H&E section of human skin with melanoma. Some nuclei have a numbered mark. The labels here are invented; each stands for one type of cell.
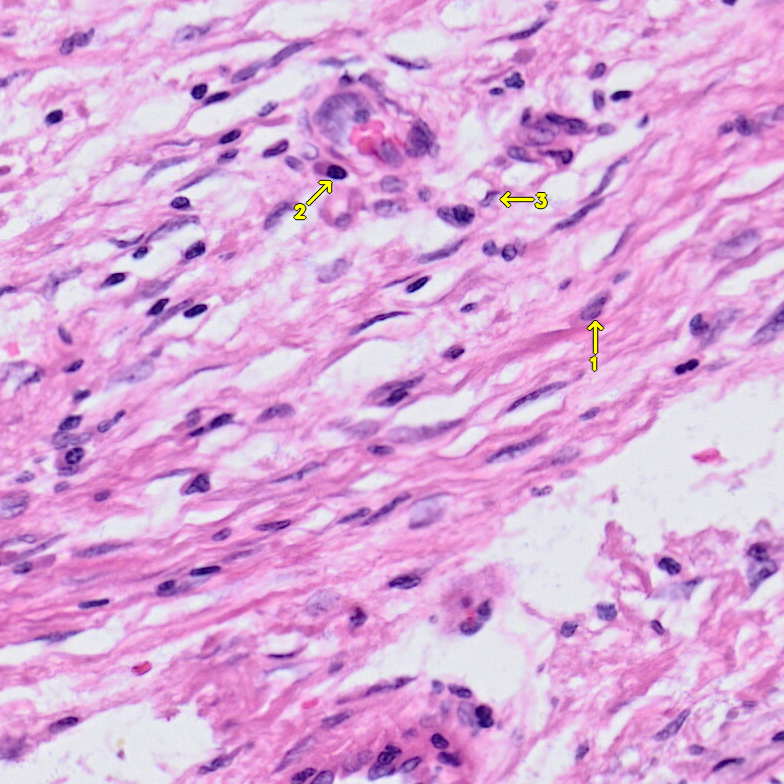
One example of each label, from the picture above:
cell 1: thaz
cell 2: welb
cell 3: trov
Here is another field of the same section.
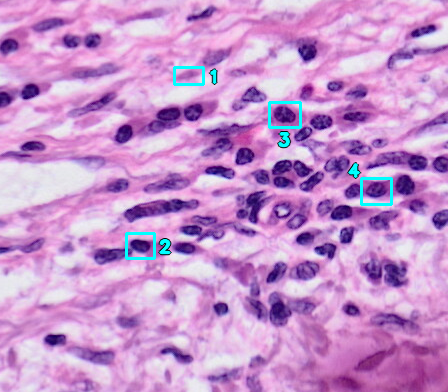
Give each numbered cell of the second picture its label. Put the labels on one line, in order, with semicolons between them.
trov; welb; welb; welb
